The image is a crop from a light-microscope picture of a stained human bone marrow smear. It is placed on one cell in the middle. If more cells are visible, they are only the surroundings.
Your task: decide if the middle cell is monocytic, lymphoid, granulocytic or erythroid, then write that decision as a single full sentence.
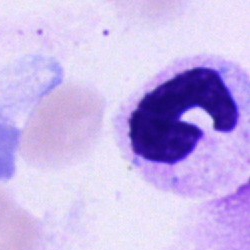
The cell at the crop's center is part of the granulocytic lineage.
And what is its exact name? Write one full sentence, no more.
The identification for the central cell is a band neutrophil.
